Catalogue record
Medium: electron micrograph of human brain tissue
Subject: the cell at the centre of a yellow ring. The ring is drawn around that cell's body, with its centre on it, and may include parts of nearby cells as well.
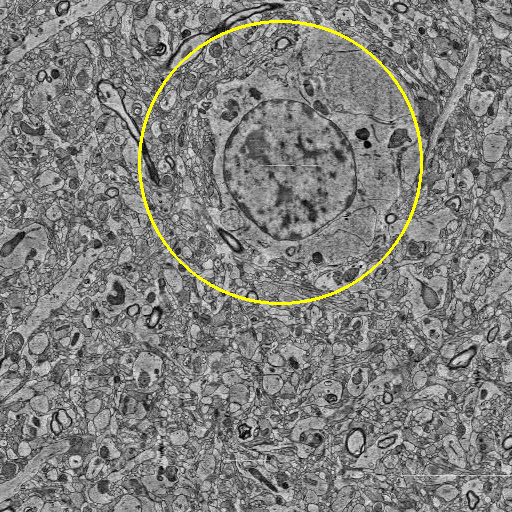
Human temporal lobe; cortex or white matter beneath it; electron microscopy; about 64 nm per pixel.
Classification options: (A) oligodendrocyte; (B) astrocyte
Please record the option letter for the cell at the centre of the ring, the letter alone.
B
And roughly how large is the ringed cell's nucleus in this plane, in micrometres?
In this plane the ringed cell's nucleus is roughly 9 micrometres across.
